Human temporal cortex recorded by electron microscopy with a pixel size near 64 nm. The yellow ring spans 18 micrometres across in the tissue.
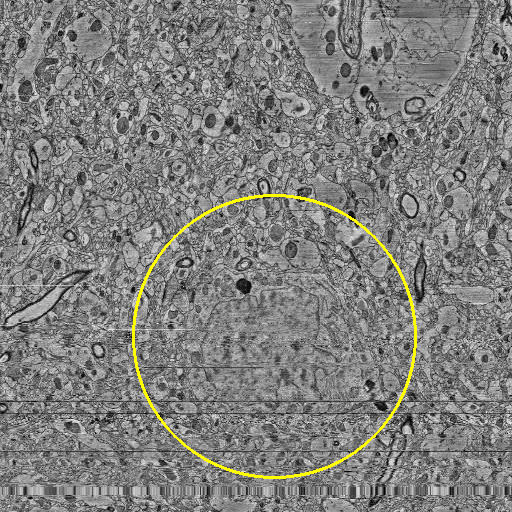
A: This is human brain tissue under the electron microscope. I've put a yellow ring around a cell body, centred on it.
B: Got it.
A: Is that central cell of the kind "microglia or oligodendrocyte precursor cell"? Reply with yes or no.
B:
no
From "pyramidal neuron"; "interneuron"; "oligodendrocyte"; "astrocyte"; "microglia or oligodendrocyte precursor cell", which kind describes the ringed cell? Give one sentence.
The correct answer is that the cell is an interneuron.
